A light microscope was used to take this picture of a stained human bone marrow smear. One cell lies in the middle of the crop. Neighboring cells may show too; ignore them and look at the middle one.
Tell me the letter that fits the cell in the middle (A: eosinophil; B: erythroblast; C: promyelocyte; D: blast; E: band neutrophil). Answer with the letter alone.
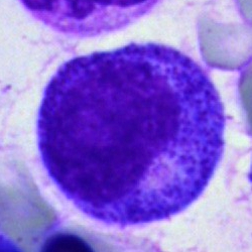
C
